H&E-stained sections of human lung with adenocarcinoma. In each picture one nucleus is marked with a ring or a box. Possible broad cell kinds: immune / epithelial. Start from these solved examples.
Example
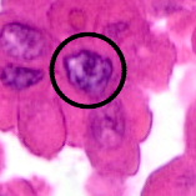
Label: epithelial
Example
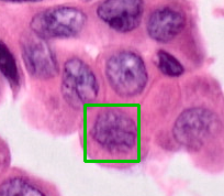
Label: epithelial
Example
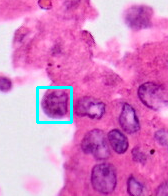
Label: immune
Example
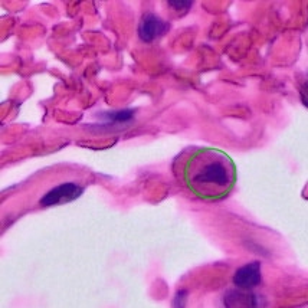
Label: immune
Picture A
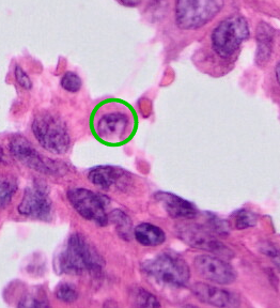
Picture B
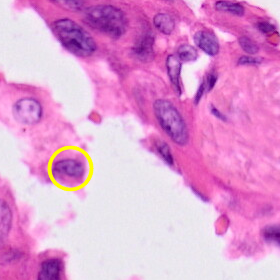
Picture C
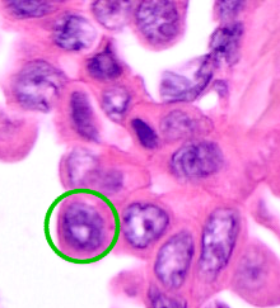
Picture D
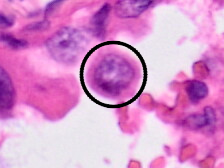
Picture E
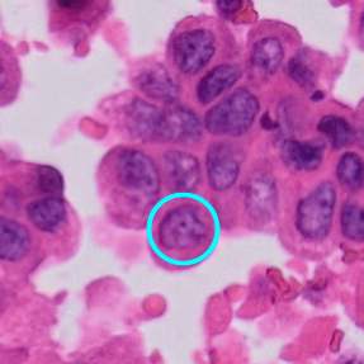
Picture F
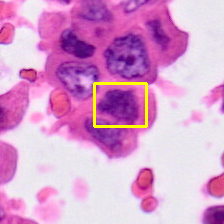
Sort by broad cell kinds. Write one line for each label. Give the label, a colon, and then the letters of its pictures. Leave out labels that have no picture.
immune: A, B
epithelial: C, D, E, F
